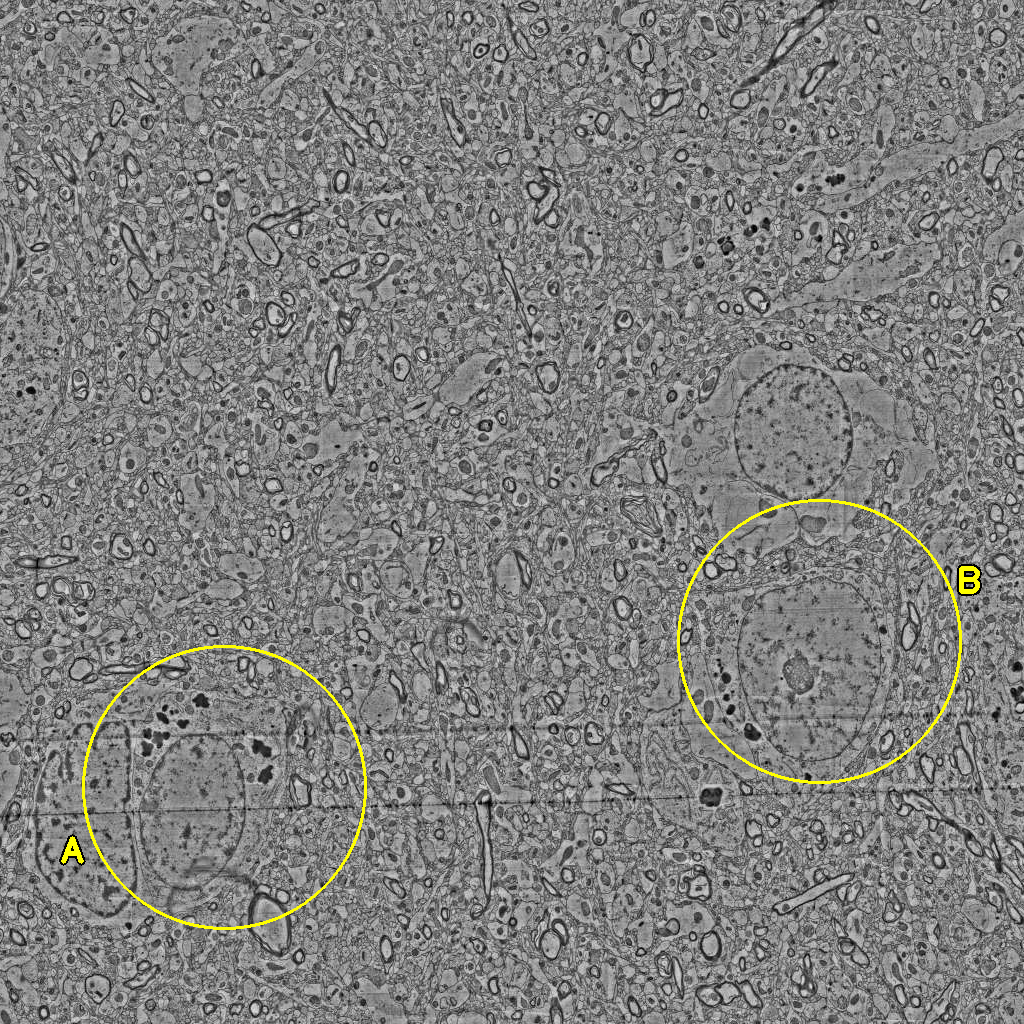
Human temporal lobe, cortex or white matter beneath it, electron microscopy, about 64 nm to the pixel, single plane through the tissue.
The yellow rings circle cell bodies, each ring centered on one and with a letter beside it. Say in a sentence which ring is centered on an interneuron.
Ring A is centered on it.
